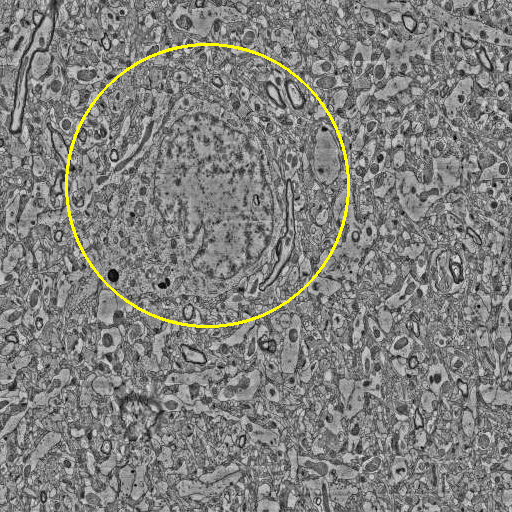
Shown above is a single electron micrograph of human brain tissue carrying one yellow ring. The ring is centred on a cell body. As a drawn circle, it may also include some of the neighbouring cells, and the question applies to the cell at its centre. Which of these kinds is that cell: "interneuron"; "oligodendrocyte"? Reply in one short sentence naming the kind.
The cell marked by the ring is an interneuron.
